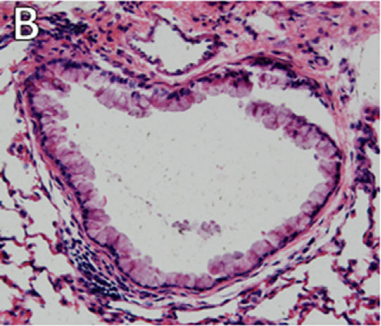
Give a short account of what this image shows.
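A bronchiole of the lung is cut across, lined by a tall epithelium whose cells have pale, pinkish-violet swollen tops and nuclei crowded toward the base. These pale bulging cells fill most of the lining, giving it a scalloped inner edge, which fits goblet cell metaplasia. Around the airway wall the connective tissue is thickened, with dense collections of small, dark, round nuclei, especially at the lower left. These are peribronchial infiltrates of inflammatory cells.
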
